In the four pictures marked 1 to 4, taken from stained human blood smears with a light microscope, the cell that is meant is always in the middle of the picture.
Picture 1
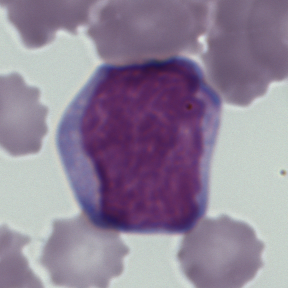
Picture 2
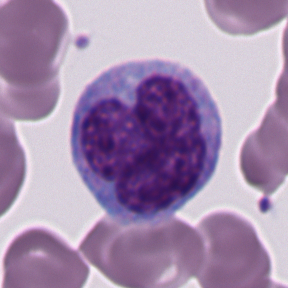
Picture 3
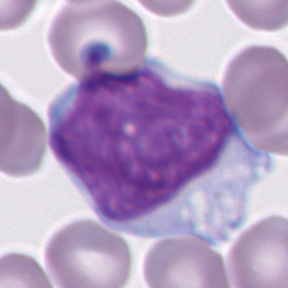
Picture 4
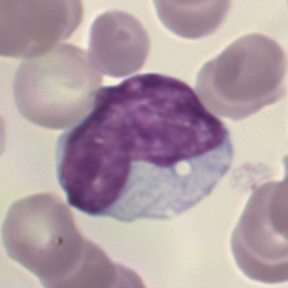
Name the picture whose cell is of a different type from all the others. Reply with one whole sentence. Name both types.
Picture 2 is the odd one out: it shows a monocyte, while the others show myeloblasts.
